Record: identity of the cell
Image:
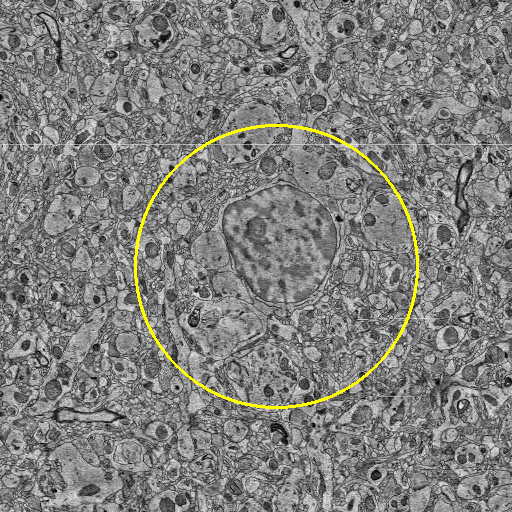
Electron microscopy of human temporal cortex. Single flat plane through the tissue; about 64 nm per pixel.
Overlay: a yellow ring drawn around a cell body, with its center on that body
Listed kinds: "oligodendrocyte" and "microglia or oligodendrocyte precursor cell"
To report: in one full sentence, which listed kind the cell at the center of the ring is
In the image, the cell body at the ring's center belongs to a microglial cell or oligodendrocyte precursor cell.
